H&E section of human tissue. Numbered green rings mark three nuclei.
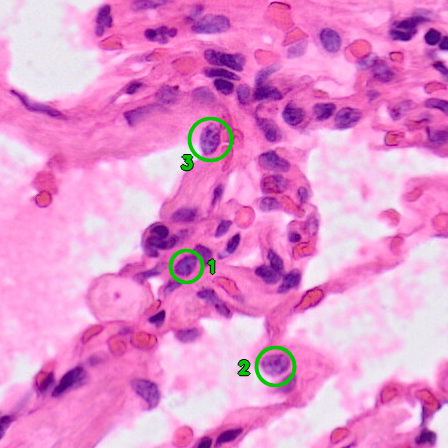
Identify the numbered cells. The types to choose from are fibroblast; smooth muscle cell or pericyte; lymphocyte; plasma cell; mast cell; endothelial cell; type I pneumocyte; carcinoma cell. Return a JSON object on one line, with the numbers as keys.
{"1": "mast cell", "2": "type I pneumocyte", "3": "type I pneumocyte"}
